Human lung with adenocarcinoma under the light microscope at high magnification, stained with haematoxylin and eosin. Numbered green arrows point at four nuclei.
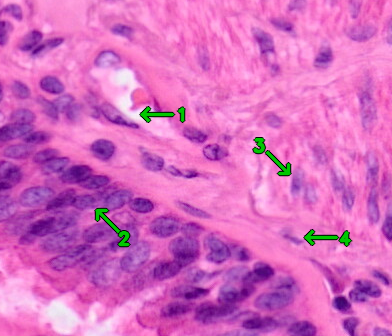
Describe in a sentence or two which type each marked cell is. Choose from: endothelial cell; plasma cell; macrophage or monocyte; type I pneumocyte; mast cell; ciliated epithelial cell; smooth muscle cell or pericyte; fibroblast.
Cell 1 is an endothelial cell, cell 2 is a ciliated epithelial cell, cell 3 is a smooth muscle cell or pericyte and cell 4 is a fibroblast.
